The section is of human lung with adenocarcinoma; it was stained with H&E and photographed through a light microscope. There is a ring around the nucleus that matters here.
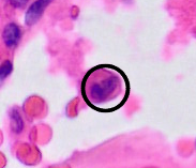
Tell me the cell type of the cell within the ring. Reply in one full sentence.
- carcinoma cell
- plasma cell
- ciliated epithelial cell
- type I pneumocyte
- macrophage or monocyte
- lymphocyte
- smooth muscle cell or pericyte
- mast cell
For the purposes of cell typing, the cell within the ring is categorized as a macrophage or monocyte.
